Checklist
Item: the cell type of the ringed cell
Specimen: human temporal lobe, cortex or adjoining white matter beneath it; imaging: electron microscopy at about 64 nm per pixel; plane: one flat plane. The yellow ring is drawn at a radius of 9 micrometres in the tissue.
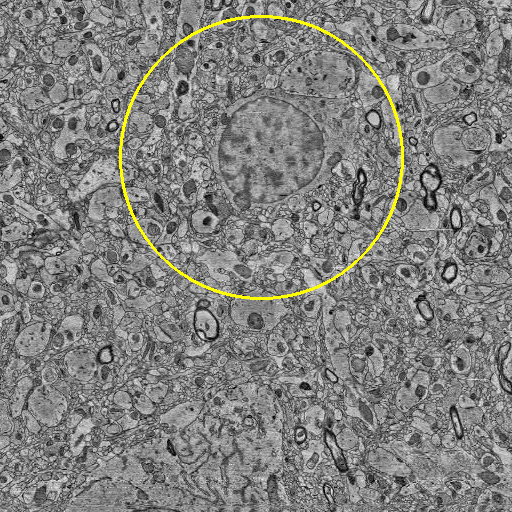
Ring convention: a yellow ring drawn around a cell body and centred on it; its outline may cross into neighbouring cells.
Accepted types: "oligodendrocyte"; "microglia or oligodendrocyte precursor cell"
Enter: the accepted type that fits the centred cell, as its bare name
oligodendrocyte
